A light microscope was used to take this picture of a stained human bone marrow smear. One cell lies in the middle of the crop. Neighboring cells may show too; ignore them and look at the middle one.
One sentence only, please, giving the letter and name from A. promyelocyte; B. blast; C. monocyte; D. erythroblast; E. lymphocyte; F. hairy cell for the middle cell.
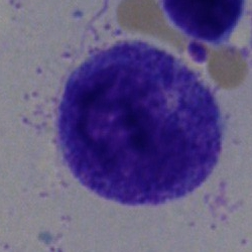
The central cell is a promyelocyte, which makes option A the right answer.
